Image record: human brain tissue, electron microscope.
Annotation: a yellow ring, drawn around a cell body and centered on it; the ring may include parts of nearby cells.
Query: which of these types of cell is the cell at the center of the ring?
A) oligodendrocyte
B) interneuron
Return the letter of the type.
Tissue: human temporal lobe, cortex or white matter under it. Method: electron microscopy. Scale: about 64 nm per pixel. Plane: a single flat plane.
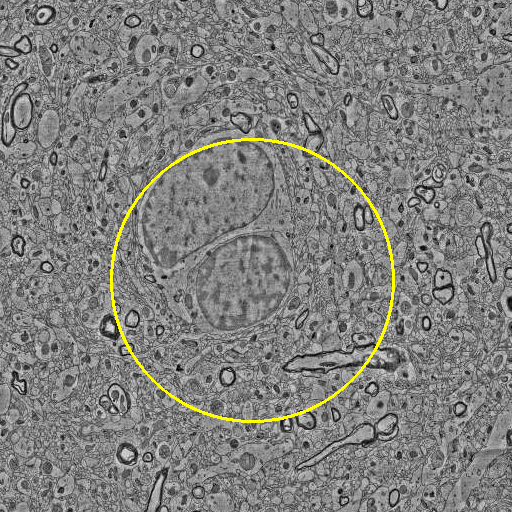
A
